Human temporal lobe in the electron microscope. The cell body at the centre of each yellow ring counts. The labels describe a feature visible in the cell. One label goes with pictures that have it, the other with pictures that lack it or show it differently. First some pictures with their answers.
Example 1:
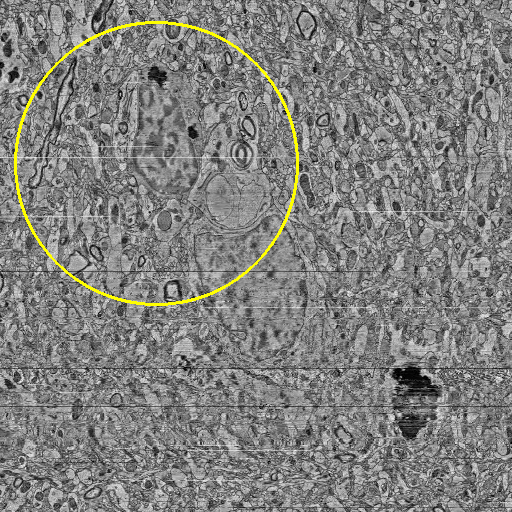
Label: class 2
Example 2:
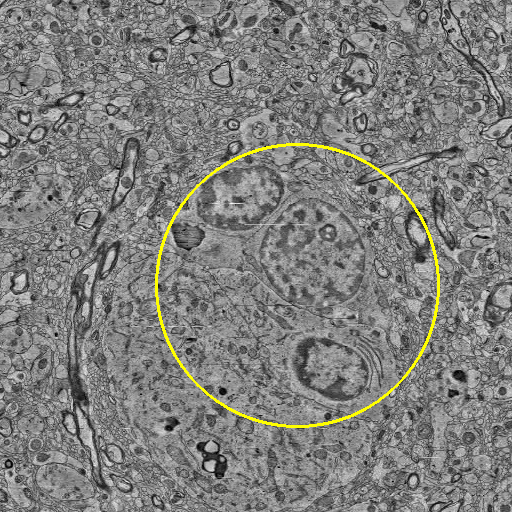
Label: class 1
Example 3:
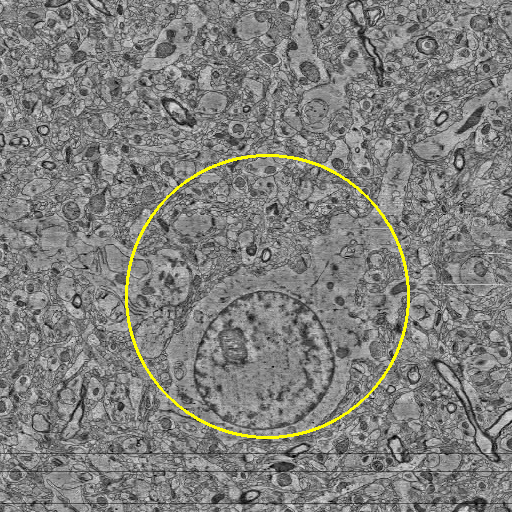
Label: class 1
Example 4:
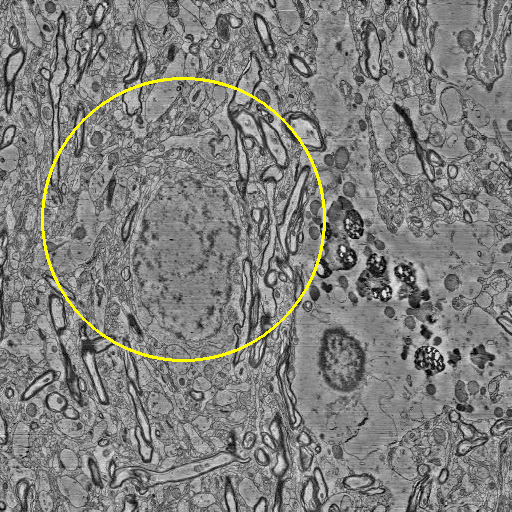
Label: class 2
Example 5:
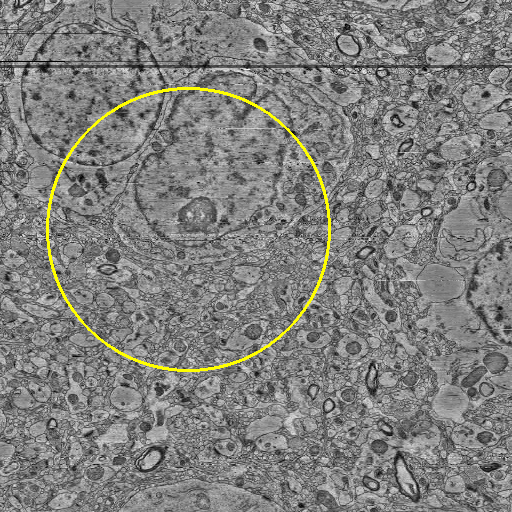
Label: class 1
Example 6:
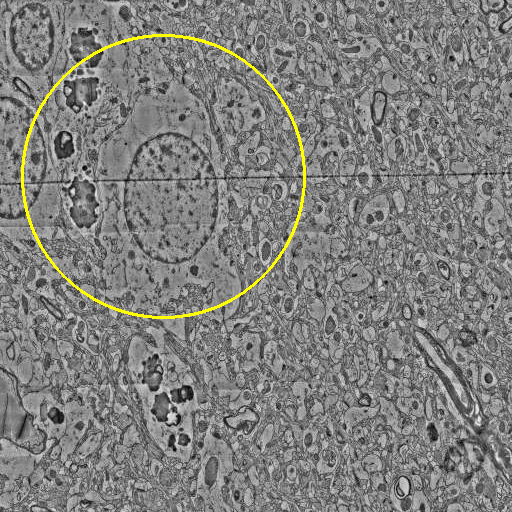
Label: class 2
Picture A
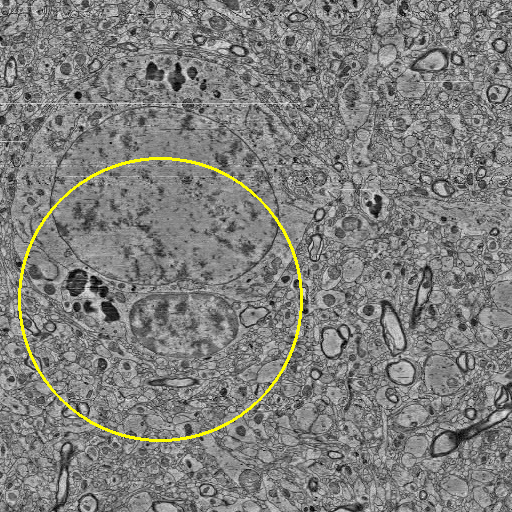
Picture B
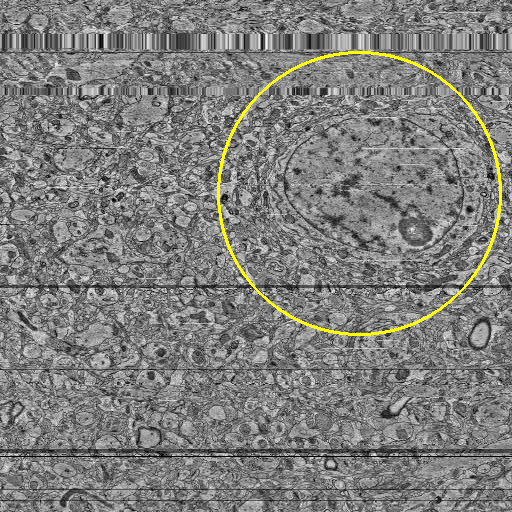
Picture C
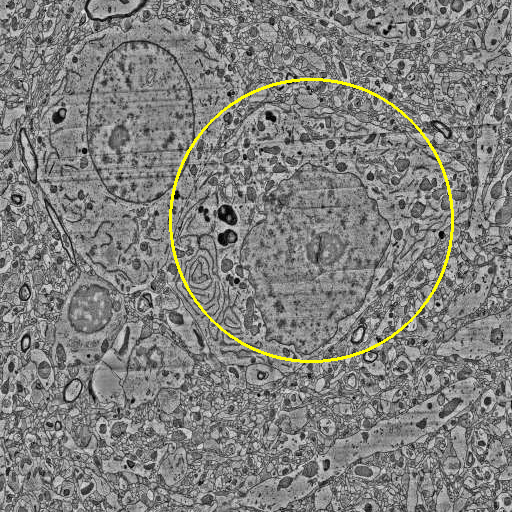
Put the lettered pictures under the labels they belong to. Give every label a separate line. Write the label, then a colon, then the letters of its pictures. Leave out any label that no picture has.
class 2: A
class 1: B, C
